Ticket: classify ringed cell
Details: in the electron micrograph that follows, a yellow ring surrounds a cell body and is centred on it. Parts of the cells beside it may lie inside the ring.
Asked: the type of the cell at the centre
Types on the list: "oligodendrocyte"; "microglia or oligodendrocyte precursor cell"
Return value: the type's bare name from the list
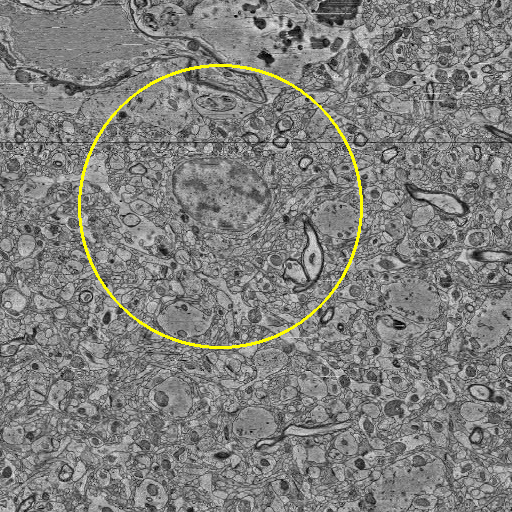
oligodendrocyte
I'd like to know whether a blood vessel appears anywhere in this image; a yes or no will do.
Yes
